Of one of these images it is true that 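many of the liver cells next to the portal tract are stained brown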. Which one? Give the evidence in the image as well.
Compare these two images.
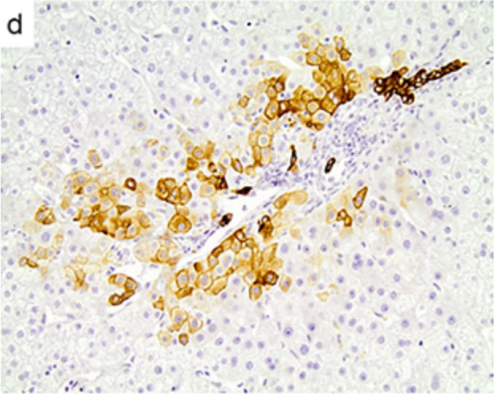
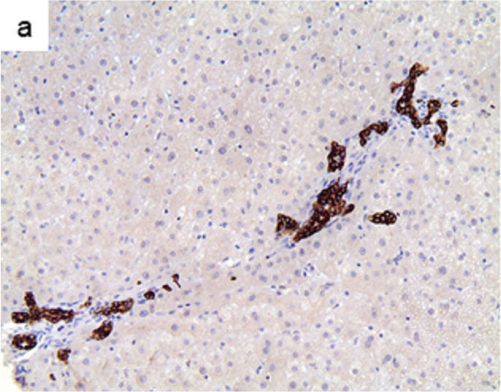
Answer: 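The first image. First image: numerous polygonal cells around the portal tract show brown staining. Second image: only the small ductal structures are brown, the polygonal cells around the portal tract are unstained.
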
